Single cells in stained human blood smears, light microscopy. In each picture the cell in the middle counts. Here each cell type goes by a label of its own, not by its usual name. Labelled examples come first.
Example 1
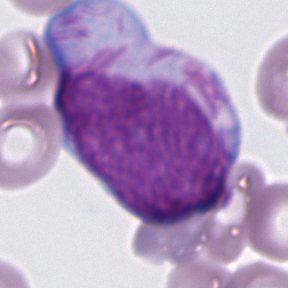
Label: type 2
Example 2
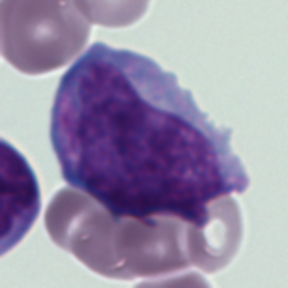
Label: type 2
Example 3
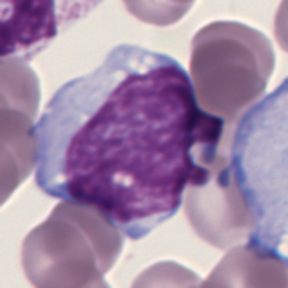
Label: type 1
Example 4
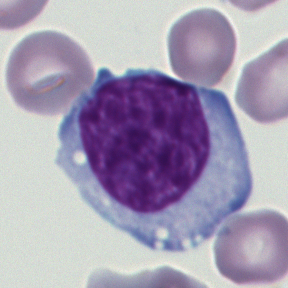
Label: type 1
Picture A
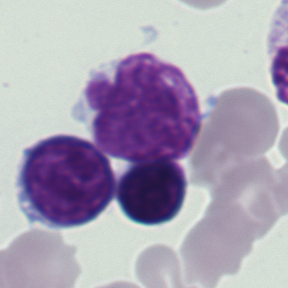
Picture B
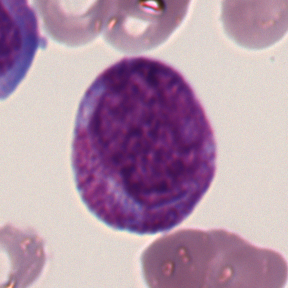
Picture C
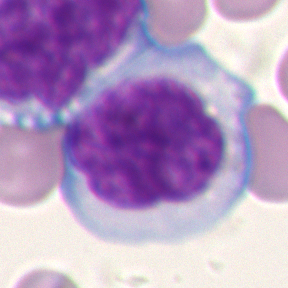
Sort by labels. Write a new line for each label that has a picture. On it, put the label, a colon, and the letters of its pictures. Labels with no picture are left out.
type 2: B
type 1: A, C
